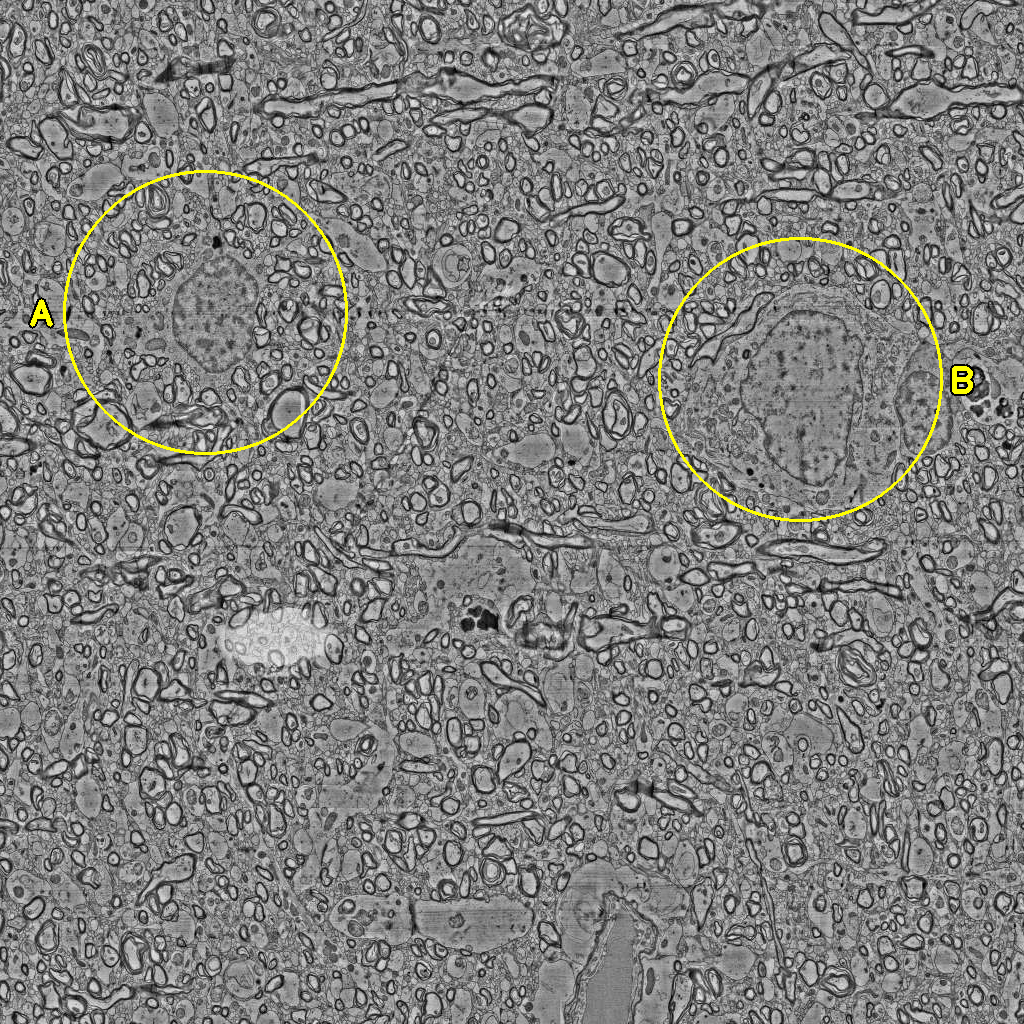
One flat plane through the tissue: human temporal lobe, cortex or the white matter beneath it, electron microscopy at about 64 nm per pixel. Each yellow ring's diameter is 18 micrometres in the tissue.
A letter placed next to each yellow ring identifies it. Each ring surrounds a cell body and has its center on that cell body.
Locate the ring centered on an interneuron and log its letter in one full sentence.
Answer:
Ring B has at its center the cell that the task asks for.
